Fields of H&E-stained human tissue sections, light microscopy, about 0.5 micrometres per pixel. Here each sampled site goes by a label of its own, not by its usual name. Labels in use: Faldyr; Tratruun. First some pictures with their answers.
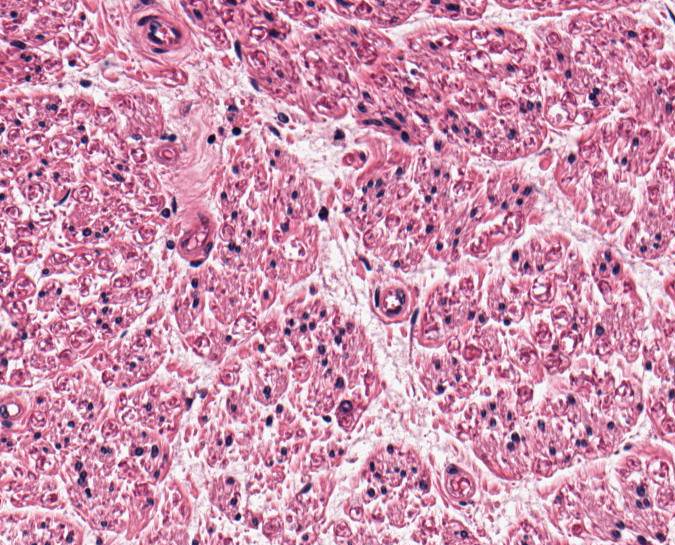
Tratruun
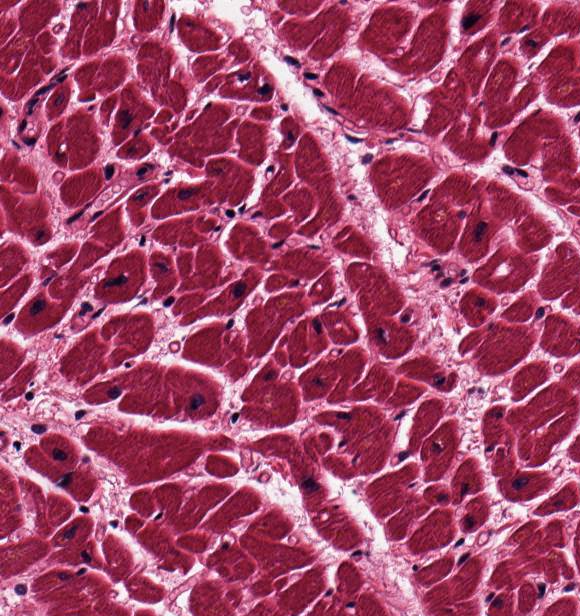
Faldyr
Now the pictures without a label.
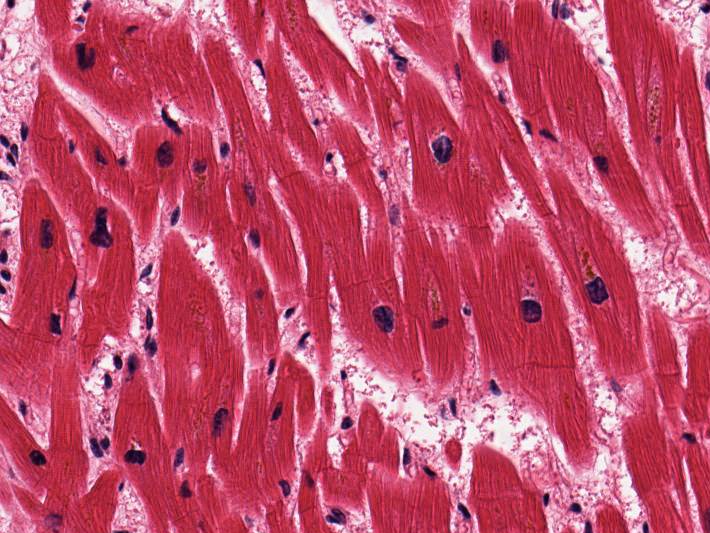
Faldyr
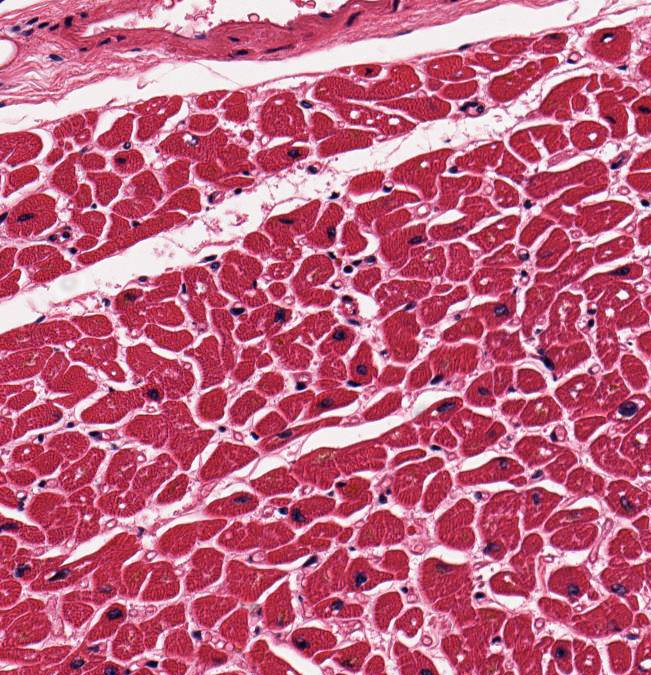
Faldyr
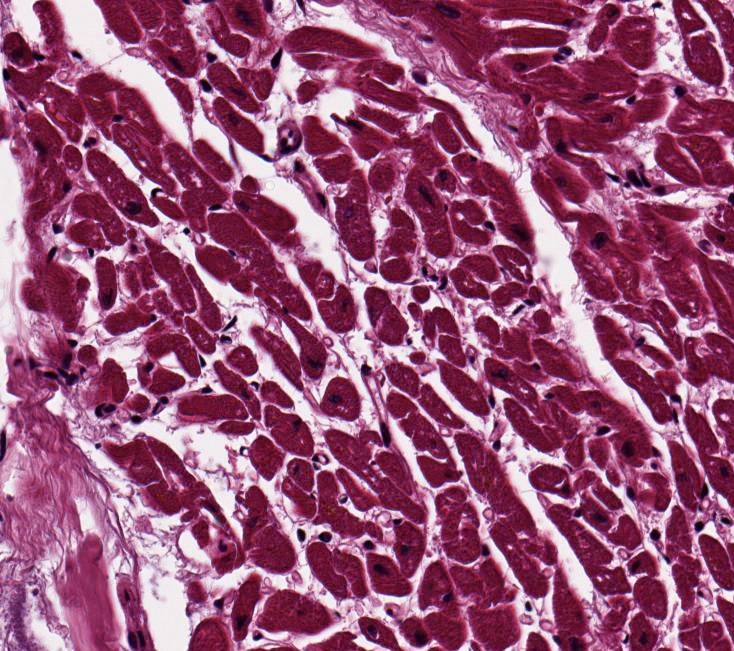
Faldyr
